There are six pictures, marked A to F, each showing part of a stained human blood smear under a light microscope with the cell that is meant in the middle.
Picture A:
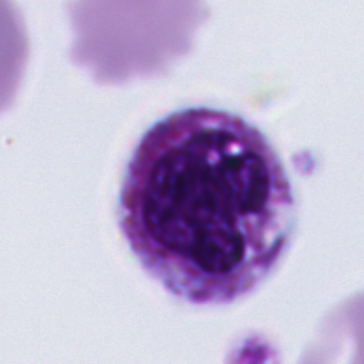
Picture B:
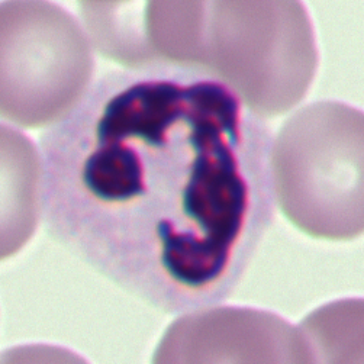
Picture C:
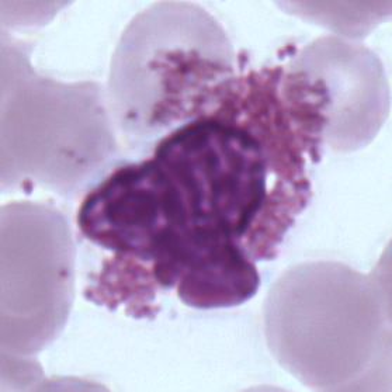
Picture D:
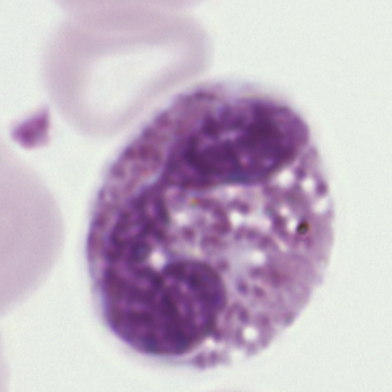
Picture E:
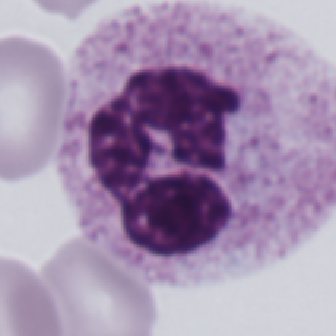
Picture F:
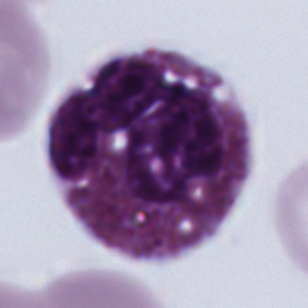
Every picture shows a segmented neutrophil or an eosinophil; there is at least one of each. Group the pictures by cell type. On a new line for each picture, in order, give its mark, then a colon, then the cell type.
A: eosinophil
B: segmented neutrophil
C: eosinophil
D: eosinophil
E: segmented neutrophil
F: eosinophil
